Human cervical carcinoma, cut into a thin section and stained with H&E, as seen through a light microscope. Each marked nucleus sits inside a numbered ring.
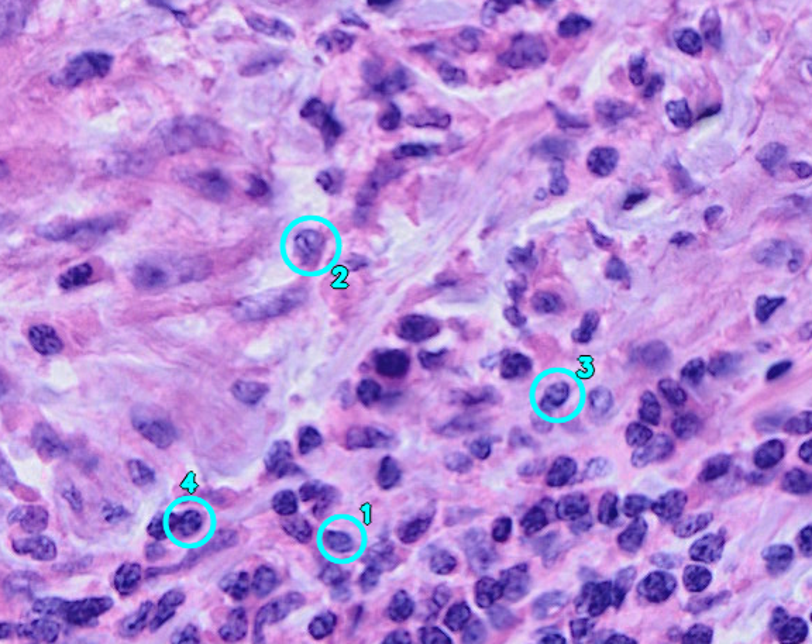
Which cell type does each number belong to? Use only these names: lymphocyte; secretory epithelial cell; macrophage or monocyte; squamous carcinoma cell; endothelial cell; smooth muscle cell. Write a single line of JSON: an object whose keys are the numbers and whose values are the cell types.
{"1": "lymphocyte", "2": "macrophage or monocyte", "3": "lymphocyte", "4": "lymphocyte"}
